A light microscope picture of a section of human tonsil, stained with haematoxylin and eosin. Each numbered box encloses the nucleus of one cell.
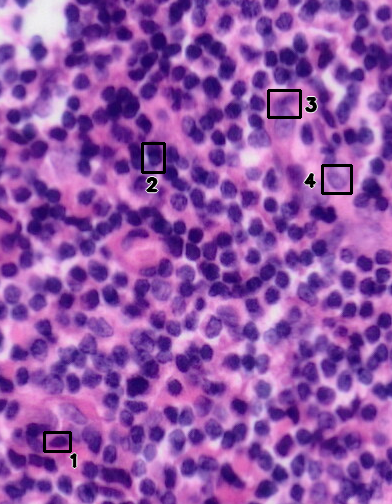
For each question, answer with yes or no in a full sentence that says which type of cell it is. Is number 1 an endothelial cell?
Yes, the cell referred to as number 1 is an endothelial cell.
